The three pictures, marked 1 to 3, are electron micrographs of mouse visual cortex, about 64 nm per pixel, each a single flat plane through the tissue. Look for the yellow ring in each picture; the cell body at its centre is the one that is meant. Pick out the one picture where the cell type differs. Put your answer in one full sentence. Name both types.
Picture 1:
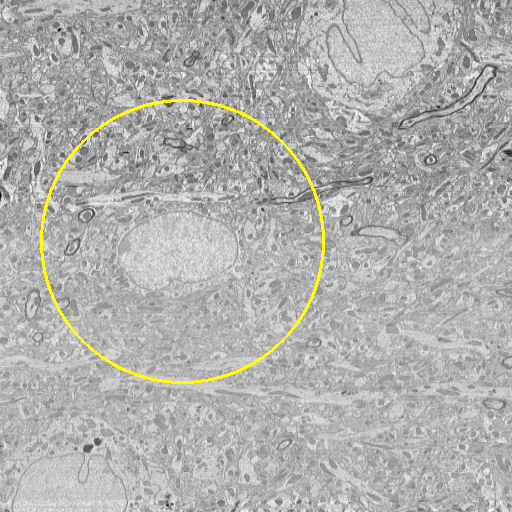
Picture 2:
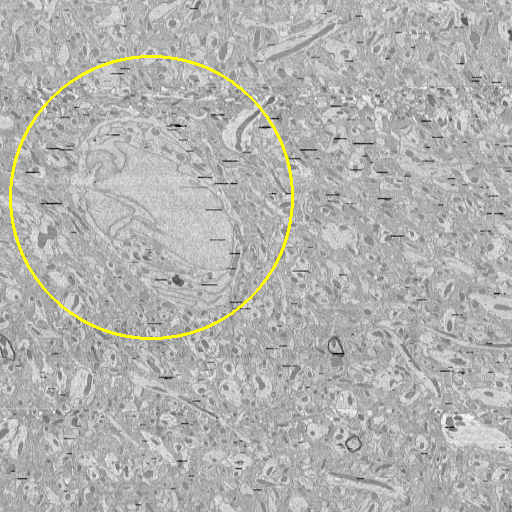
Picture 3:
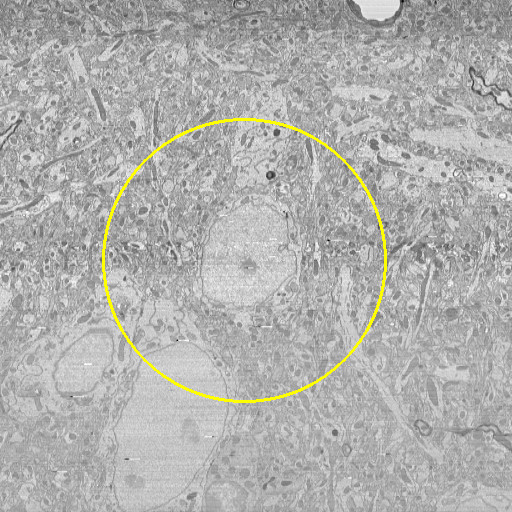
Picture 1 is the odd one out: it shows an astrocyte, while the others show inhibitory neurons.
